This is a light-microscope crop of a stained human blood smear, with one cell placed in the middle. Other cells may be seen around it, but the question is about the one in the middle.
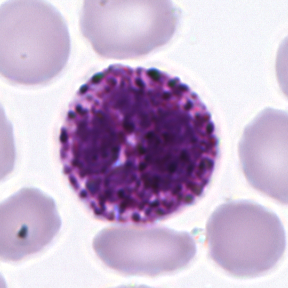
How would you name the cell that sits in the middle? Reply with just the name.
basophil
